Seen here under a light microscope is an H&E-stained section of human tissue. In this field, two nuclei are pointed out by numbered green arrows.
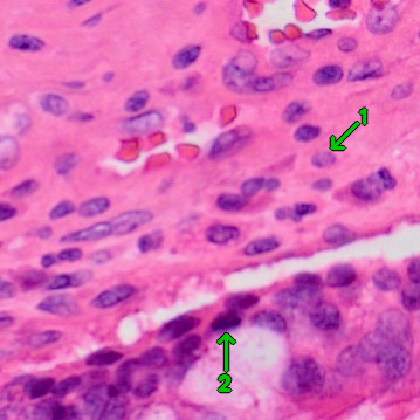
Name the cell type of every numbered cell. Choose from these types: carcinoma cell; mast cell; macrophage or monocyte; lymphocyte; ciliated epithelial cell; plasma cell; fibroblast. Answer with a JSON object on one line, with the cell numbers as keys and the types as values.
{"1": "mast cell", "2": "ciliated epithelial cell"}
